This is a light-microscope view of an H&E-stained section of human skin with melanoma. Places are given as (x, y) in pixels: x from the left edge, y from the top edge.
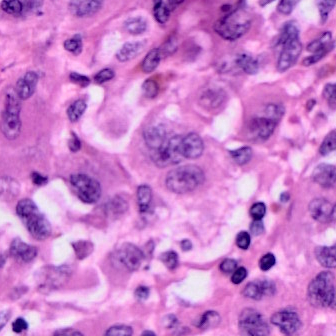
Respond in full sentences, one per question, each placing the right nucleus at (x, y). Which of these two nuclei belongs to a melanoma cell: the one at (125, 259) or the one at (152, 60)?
The nucleus at (125, 259) is assigned to a melanoma cell.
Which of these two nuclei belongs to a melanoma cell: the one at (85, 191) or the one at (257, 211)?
The nucleus at (85, 191) is the one of the two that belongs to a melanoma cell.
